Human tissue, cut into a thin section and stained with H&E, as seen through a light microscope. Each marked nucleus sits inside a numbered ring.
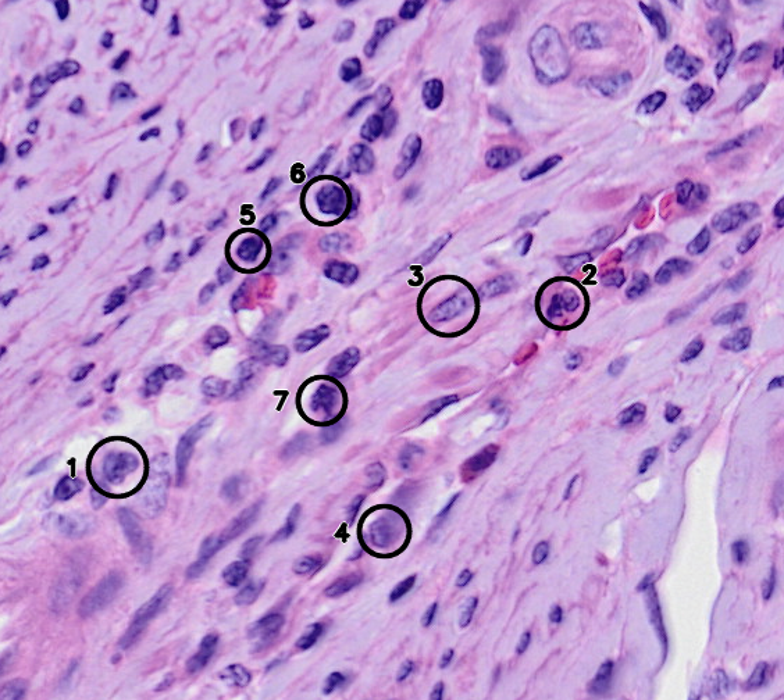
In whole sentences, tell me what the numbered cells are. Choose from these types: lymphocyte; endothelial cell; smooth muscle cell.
Cells 1, 5, 6 and 7 are lymphocytes. Cells 2 and 4 are endothelial cells. Cell 3 is a smooth muscle cell.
